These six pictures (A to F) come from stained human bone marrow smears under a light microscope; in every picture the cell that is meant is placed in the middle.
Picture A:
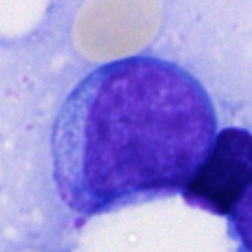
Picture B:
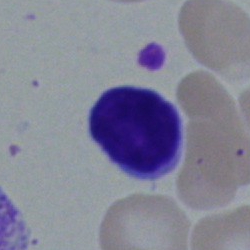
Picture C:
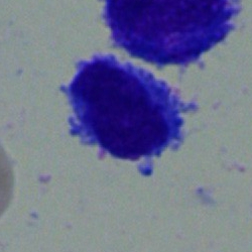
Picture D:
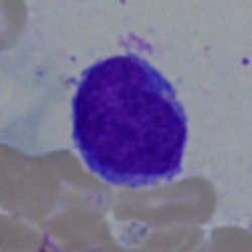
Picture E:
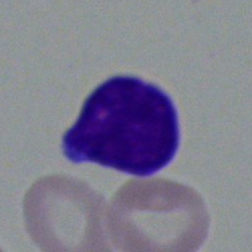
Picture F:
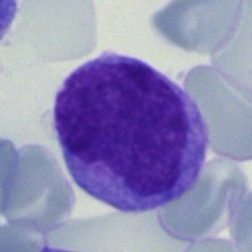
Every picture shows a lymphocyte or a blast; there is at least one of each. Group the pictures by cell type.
A: blast
B: lymphocyte
C: lymphocyte
D: blast
E: blast
F: blast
